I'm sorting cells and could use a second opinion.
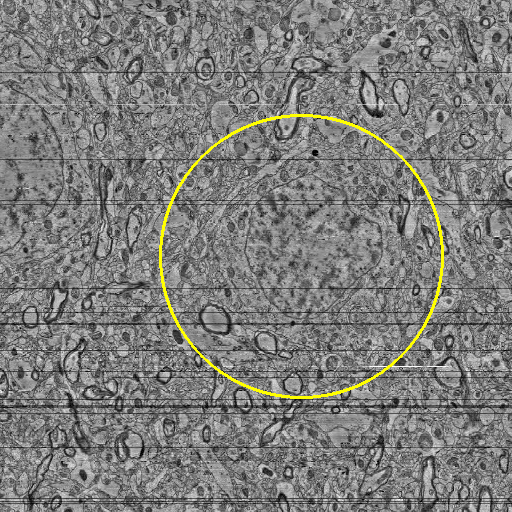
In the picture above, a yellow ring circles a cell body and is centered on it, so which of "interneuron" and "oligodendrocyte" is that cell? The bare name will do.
interneuron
